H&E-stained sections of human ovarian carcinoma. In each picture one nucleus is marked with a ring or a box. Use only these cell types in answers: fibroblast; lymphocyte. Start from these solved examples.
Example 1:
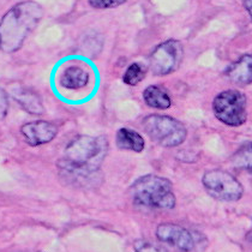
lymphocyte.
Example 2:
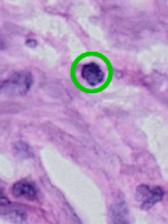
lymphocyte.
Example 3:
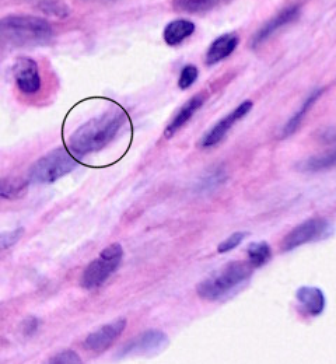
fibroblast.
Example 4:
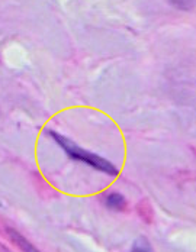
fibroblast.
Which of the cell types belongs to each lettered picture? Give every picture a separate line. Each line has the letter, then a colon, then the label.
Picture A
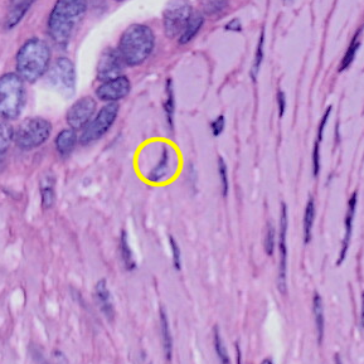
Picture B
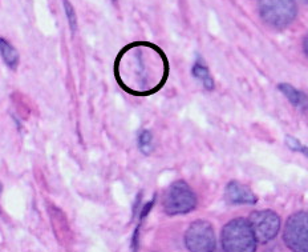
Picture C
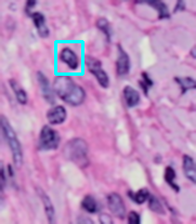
A: fibroblast.
B: fibroblast.
C: lymphocyte.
